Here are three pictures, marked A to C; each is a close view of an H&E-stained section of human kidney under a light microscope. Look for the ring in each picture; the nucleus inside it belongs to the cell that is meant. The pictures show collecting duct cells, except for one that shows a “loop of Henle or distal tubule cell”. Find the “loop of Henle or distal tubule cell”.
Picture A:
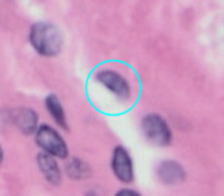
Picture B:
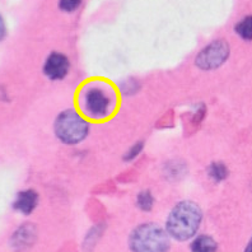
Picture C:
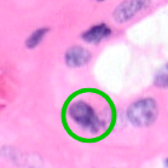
B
